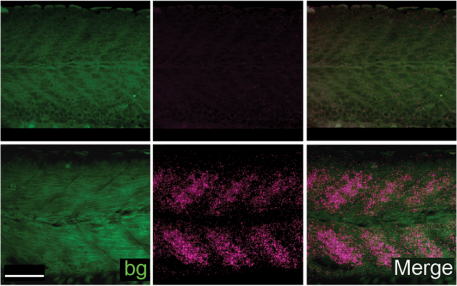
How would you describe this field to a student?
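Trunk muscle is seen as repeating chevron-shaped segments filled with long parallel fibres, outlined by faint green background. In the lower row dense magenta dots crowd within the muscle segments in two broad bands, while the upper row shows almost no magenta.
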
